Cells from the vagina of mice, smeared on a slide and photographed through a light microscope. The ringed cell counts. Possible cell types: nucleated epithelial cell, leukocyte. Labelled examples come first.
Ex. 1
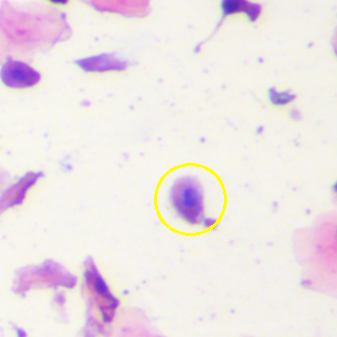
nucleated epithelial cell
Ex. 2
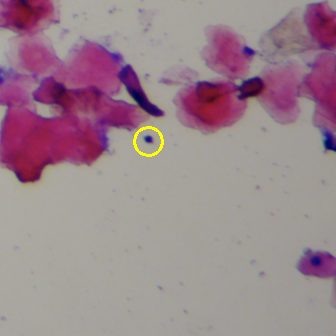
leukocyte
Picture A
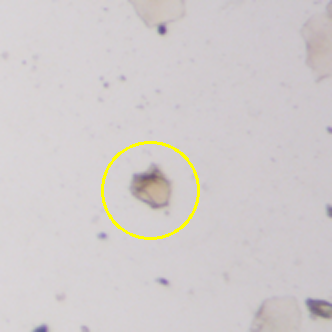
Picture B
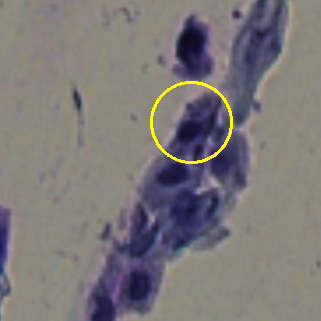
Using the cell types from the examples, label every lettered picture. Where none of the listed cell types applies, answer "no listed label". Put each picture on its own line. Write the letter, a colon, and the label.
A: no listed label
B: nucleated epithelial cell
